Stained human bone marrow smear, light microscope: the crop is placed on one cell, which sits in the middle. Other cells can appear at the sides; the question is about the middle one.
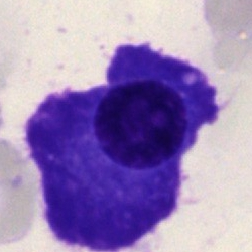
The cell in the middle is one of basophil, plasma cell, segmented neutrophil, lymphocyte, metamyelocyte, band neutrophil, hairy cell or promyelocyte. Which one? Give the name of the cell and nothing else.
plasma cell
